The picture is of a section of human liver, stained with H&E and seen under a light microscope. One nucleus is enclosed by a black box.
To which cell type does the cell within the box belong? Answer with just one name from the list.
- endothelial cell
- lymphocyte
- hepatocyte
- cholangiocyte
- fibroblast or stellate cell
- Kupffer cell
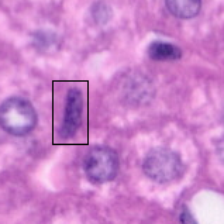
fibroblast or stellate cell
